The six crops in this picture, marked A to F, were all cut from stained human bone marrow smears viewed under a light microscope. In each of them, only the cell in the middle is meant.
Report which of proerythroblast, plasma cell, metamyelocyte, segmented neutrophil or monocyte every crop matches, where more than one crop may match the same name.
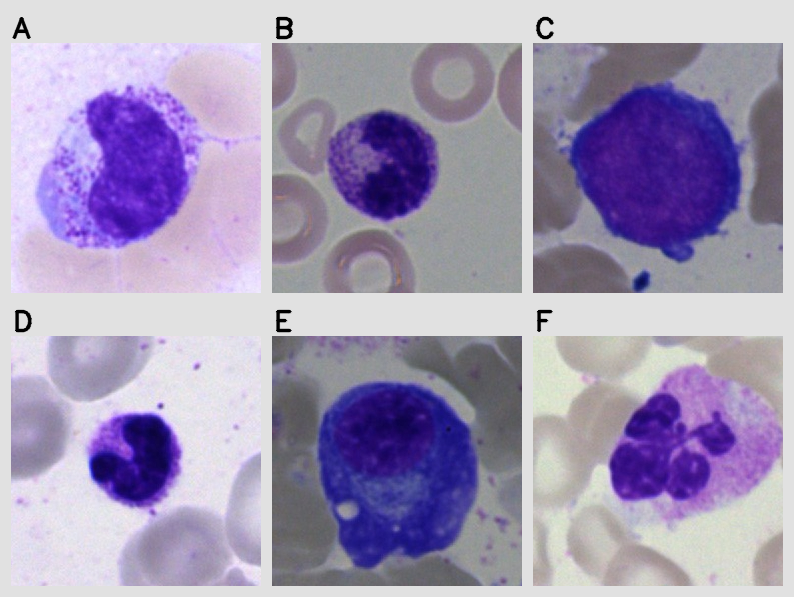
A: metamyelocyte
B: segmented neutrophil
C: proerythroblast
D: segmented neutrophil
E: plasma cell
F: segmented neutrophil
